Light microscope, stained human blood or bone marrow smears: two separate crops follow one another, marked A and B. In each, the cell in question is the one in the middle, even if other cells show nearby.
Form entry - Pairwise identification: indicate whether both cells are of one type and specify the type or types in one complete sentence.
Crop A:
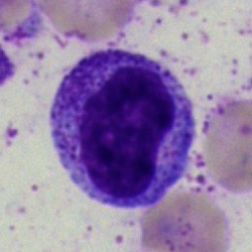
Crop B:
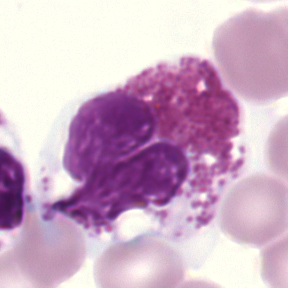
No, crop A gives us a myelocyte and crop B gives us an eosinophil.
